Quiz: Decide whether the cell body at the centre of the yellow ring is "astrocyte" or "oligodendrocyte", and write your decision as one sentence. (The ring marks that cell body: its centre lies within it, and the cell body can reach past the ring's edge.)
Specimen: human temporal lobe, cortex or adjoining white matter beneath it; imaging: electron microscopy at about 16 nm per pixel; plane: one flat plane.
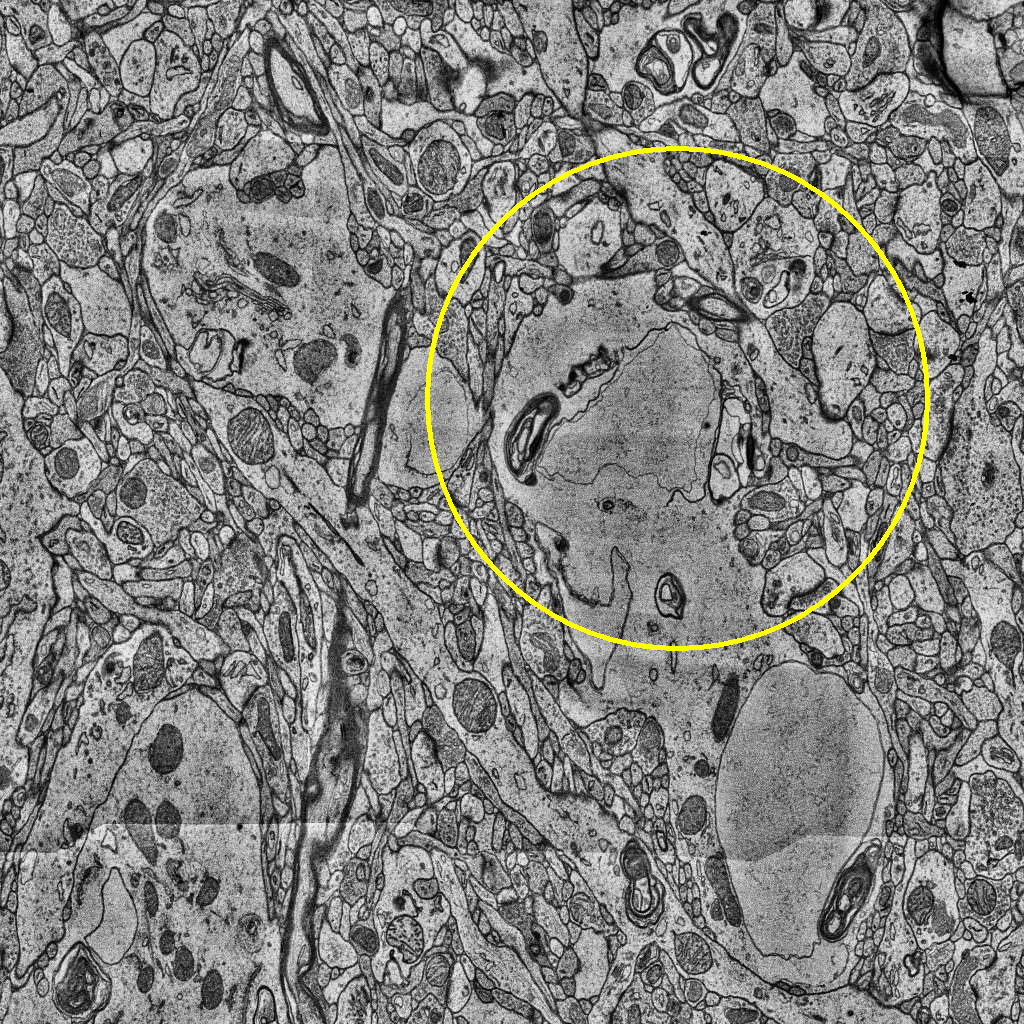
The cell holding the ring's centre is an astrocyte.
